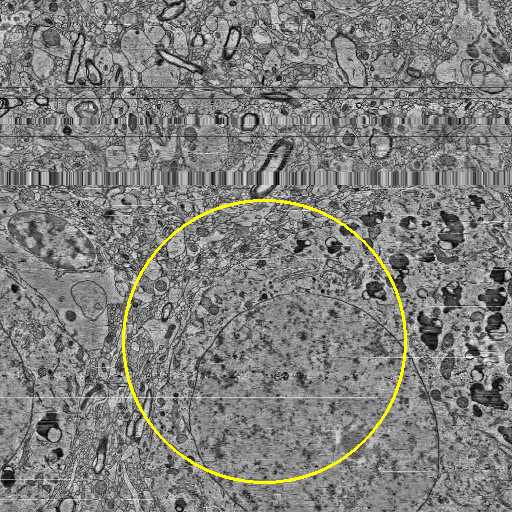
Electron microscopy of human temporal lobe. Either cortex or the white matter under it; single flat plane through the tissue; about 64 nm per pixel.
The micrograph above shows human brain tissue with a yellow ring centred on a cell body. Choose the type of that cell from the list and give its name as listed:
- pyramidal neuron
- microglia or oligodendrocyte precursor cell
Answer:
pyramidal neuron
